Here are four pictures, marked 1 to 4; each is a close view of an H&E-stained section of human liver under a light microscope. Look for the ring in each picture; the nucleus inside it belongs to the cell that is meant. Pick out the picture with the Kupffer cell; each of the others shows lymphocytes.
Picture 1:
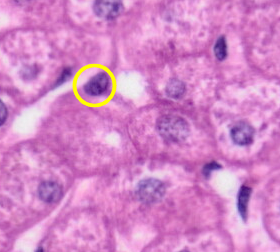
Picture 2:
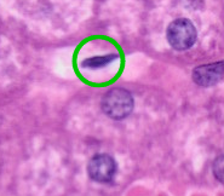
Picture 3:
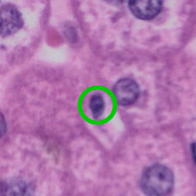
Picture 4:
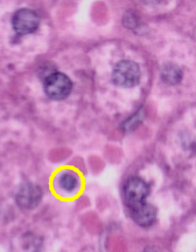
1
